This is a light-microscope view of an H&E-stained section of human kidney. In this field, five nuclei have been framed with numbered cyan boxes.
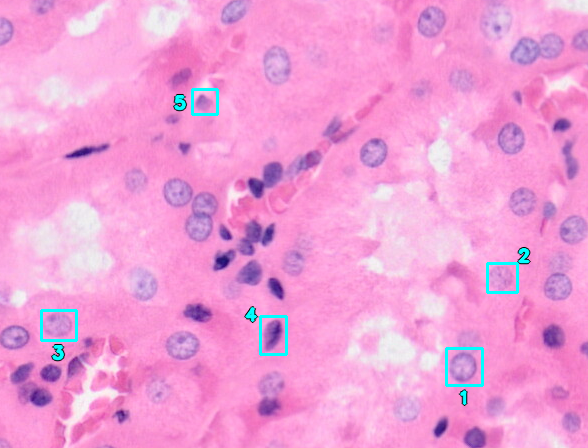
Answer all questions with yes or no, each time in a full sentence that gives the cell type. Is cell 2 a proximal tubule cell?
Yes, in this section the cell with number 2 is a proximal tubule cell.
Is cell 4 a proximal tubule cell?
No, a proximal tubule cell is not what cell 4 is; it is an endothelial cell.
